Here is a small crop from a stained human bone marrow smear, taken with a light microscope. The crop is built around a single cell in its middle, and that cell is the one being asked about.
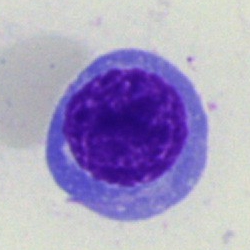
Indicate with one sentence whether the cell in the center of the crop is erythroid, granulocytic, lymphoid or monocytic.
The cell that sits at the center is attributed to the erythroid lineage.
